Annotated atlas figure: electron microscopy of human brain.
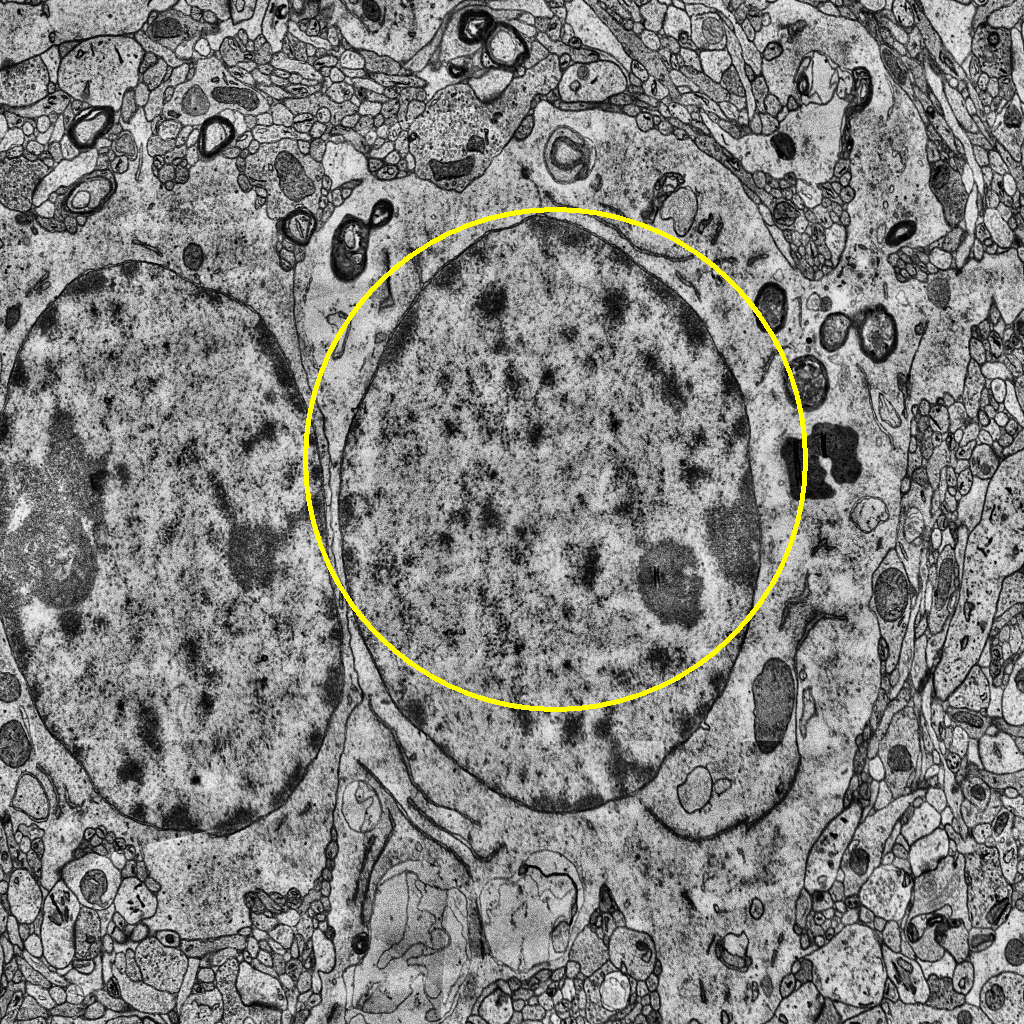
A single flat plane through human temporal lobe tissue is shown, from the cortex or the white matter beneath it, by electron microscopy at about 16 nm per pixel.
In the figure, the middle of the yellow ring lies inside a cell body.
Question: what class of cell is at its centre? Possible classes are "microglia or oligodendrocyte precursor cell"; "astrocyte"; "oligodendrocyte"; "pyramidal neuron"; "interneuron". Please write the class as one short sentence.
The yellow ring's centre lies in an astrocyte.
